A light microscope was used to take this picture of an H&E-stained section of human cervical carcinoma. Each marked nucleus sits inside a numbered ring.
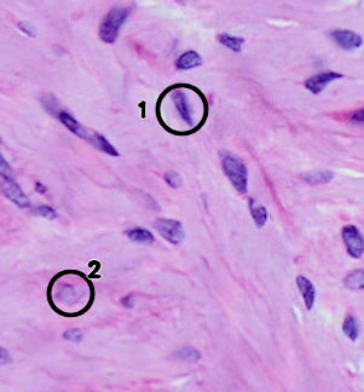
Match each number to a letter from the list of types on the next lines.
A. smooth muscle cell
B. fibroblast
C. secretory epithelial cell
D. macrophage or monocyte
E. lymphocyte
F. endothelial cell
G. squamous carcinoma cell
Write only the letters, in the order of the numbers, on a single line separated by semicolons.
B; A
